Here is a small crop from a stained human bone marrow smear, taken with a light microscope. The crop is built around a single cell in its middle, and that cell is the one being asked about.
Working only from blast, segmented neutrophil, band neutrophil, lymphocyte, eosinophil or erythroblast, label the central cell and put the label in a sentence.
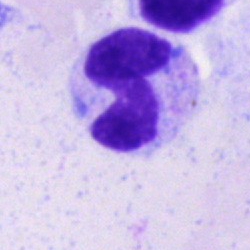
This particular crop is centered on a segmented neutrophil.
